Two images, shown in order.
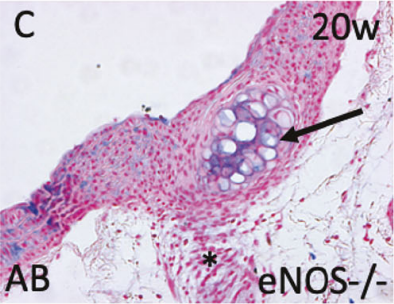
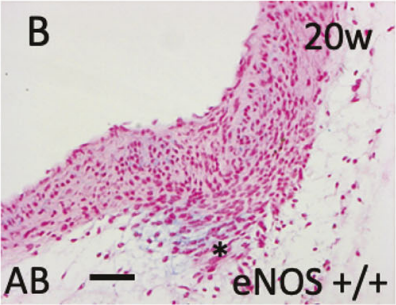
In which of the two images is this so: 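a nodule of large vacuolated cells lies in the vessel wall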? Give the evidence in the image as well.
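The first image. Second image: the wall consists of densely packed pink-nucleated elongated cells with no such cluster.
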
